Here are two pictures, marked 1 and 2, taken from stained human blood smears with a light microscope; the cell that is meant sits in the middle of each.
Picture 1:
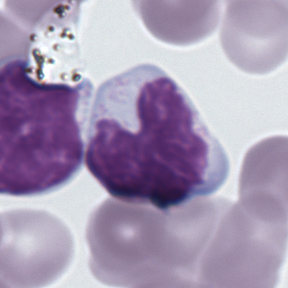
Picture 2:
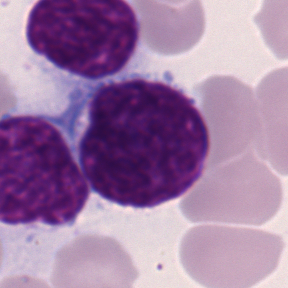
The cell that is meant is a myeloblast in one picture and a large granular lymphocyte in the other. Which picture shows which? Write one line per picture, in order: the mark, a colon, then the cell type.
1: large granular lymphocyte
2: myeloblast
